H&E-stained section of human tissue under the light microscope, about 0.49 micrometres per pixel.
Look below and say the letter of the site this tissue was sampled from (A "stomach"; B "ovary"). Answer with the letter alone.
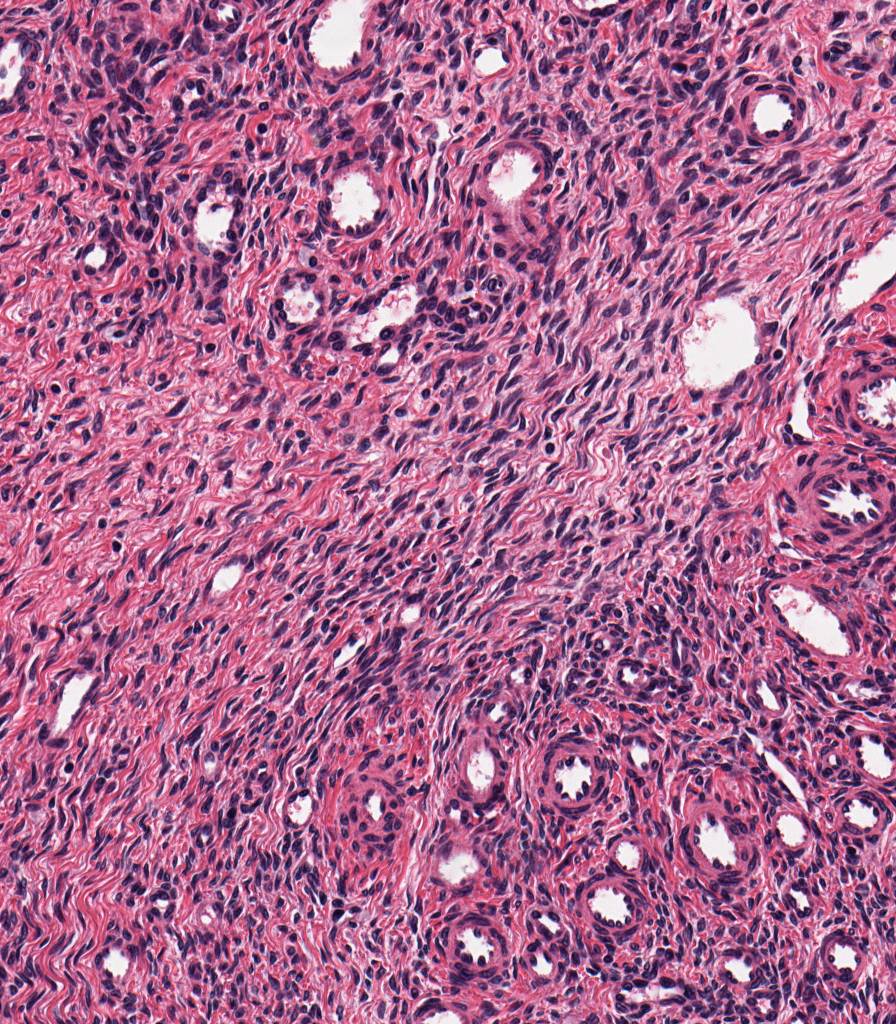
B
